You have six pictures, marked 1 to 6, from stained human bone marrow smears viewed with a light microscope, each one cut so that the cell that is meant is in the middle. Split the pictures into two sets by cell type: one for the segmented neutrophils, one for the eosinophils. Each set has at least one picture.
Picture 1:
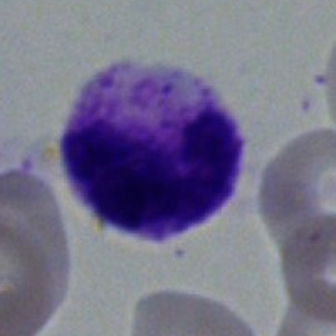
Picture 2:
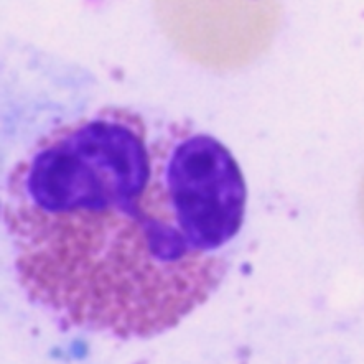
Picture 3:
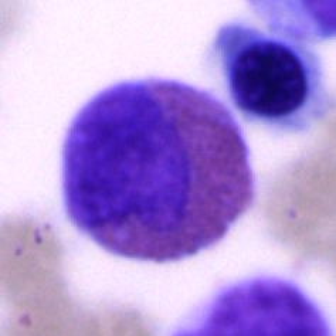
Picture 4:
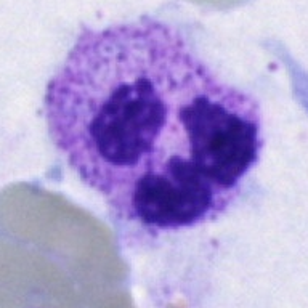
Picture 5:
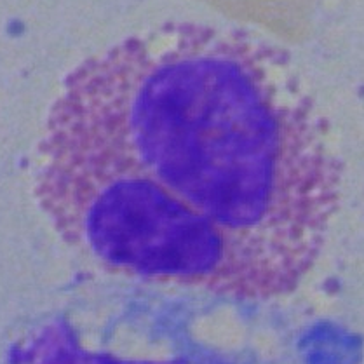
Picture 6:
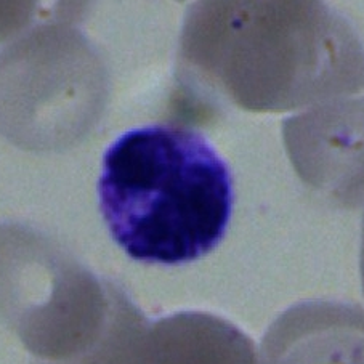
1: segmented neutrophil
2: eosinophil
3: eosinophil
4: segmented neutrophil
5: eosinophil
6: segmented neutrophil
